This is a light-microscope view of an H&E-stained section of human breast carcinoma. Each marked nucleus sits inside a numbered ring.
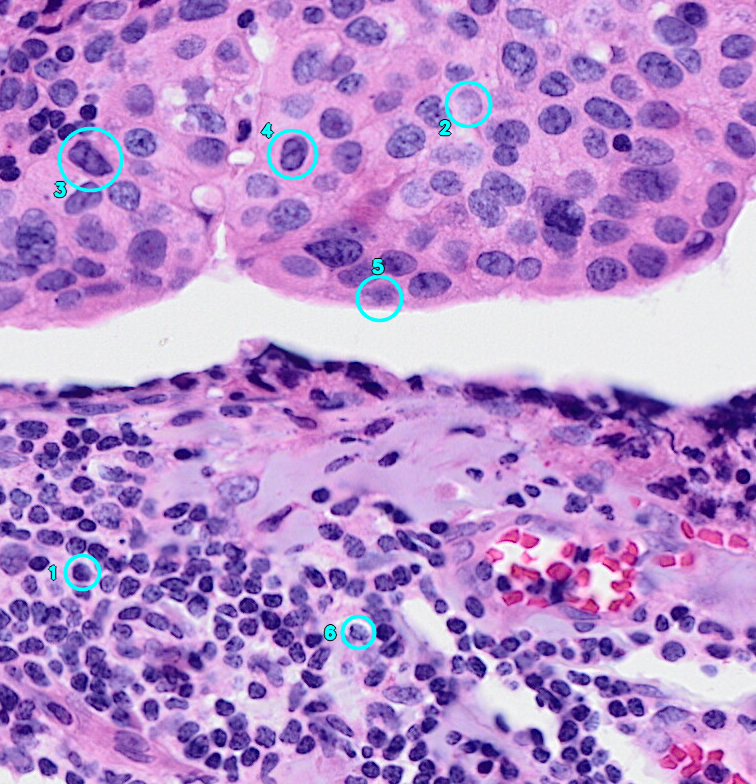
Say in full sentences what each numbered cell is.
Cells 1 and 6 are lymphocytes. Cells 2, 3, 4 and 5 are carcinoma cells.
